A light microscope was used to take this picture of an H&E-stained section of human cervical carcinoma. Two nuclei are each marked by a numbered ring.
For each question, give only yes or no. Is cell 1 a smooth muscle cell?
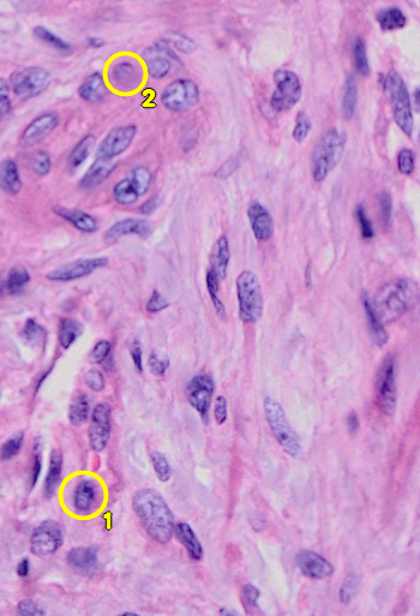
no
